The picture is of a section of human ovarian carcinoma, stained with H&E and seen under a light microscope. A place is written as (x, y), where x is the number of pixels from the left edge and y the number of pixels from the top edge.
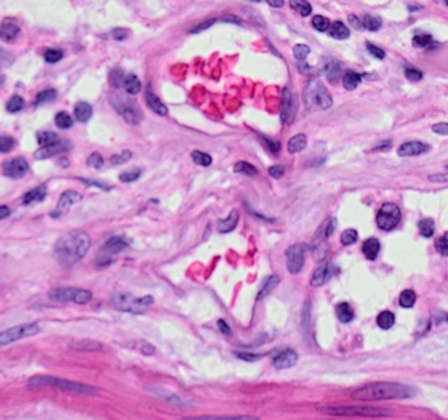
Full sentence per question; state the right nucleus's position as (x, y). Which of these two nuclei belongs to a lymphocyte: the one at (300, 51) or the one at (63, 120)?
Out of the two, it is the nucleus at (63, 120) that belongs to a lymphocyte.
